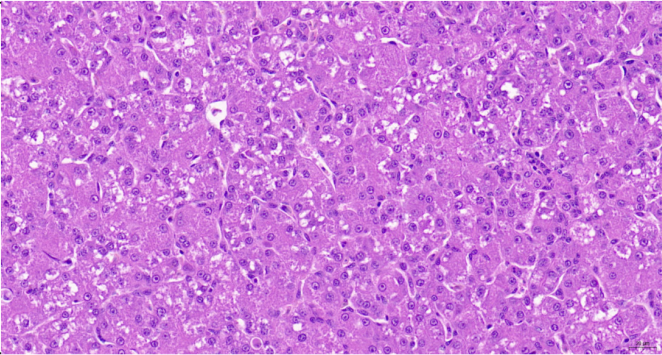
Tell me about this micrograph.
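This is liver tissue made of polygonal hepatocytes with pink cytoplasm and round, centrally placed nuclei, many with a visible dark nucleolus. The cells are packed in cords with narrow pale spaces between them. Scattered small clear spaces lie among the cells, but no clusters of small dark inflammatory cells are seen.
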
